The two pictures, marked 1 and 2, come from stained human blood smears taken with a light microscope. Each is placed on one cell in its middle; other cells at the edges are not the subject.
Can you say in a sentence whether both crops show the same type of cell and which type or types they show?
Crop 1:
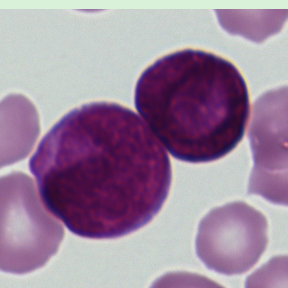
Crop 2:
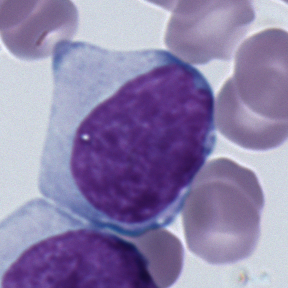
Yes, the two crops are alike in showing myeloblasts.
